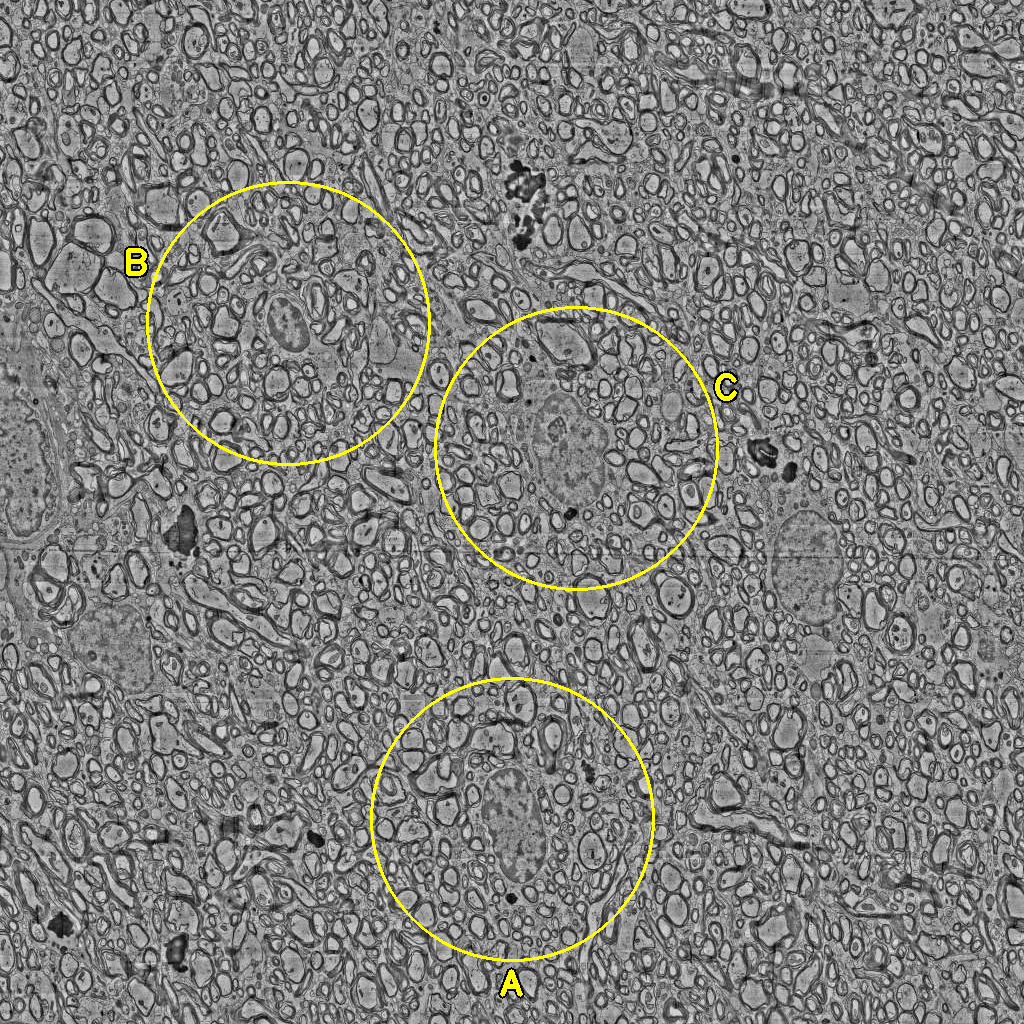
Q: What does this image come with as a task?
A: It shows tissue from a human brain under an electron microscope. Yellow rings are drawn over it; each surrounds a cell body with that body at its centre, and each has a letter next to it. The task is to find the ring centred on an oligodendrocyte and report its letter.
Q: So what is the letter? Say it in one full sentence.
It is C, the letter of the ring centred on the cell asked for in the picture.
